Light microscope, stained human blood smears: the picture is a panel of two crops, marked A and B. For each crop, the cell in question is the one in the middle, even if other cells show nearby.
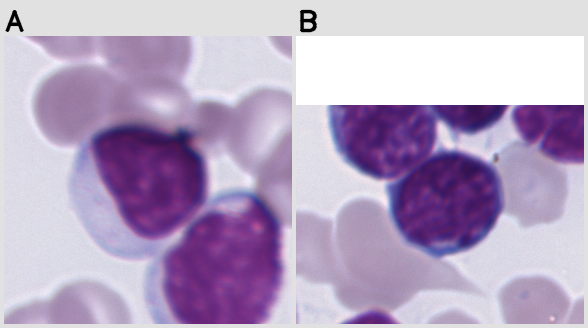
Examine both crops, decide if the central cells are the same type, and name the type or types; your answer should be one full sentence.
No, a large granular lymphocyte is the cell in crop A; a myeloblast is the cell in crop B.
